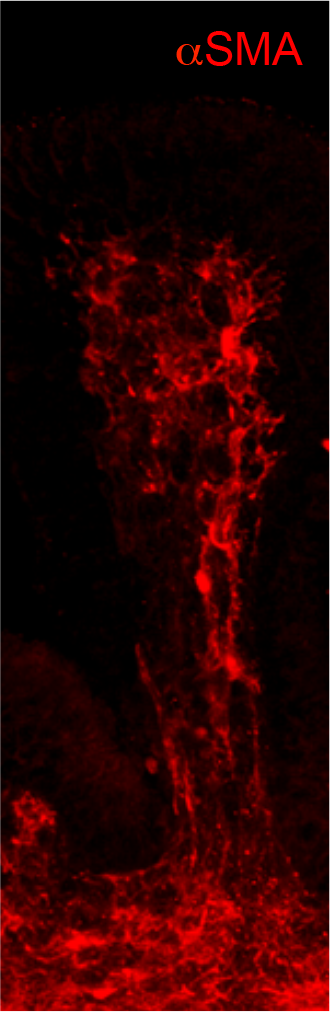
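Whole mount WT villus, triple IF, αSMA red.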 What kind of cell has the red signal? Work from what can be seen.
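Star cells. Red cells have several branching processes radiating from the cell body. The red cells are scattered through the upper part of the villus.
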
